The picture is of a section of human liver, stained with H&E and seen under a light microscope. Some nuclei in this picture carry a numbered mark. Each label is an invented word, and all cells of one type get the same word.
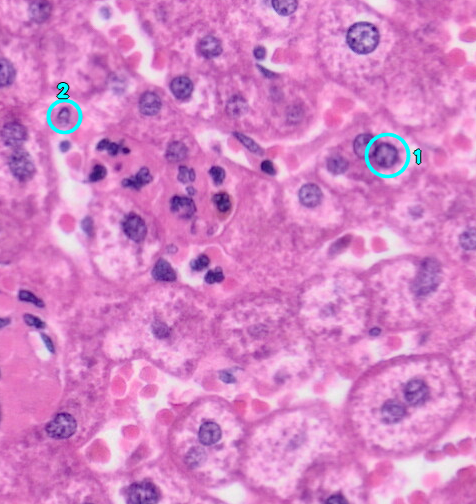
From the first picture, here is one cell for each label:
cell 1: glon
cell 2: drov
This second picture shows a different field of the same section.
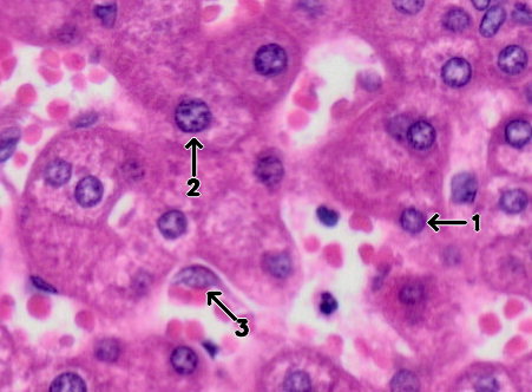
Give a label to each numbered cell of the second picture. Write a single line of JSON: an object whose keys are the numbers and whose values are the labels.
{"1": "glon", "2": "glon", "3": "drov"}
